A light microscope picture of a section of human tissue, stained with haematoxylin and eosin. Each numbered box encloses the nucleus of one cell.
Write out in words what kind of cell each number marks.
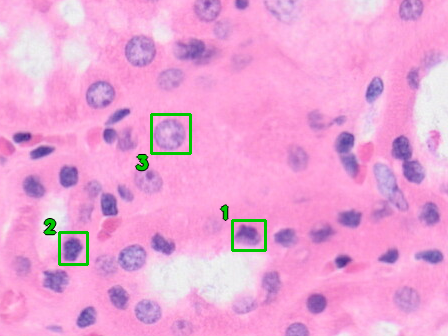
Cells 1 and 2 are loop of Henle or distal tubule cells. Cell 3 is a proximal tubule cell.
